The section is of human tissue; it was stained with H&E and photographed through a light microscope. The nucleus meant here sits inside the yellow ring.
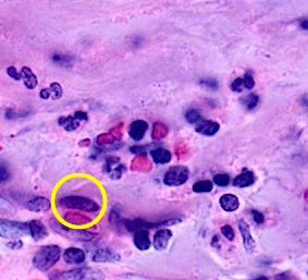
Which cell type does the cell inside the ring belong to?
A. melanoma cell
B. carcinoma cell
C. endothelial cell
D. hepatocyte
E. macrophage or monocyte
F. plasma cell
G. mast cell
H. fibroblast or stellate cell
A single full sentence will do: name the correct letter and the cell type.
As the cell inside the ring is an endothelial cell, the correct choice is option C.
